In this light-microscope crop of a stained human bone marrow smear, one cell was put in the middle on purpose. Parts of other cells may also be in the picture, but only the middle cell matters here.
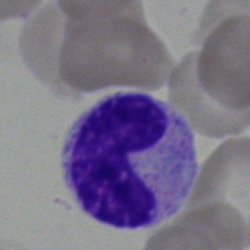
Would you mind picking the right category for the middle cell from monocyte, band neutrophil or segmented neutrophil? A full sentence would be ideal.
This crop is built around a band neutrophil at its centre.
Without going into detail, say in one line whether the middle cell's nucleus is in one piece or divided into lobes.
The nucleus holds together as a single compact mass, round, oval or kidney-like.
